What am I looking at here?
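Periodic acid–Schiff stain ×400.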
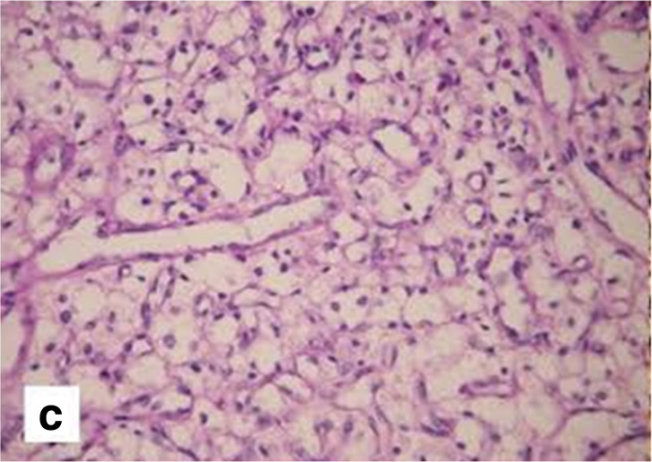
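Sheets of large polygonal cells fill the field, each with wide, pale, vacuolated cytoplasm and a small round dark nucleus. Thin magenta-pink membranes outline the cells and the walls of narrow, thin-walled vessels that run between them. The picture is of a richly vascular lesion whose cells have vacuolated and wide cytoplasm.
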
